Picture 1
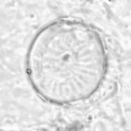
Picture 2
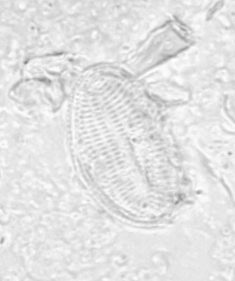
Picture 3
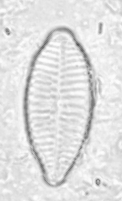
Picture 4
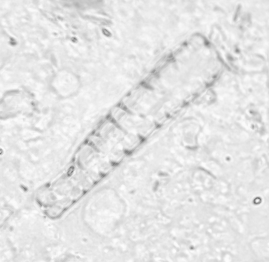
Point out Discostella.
That is picture 1.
